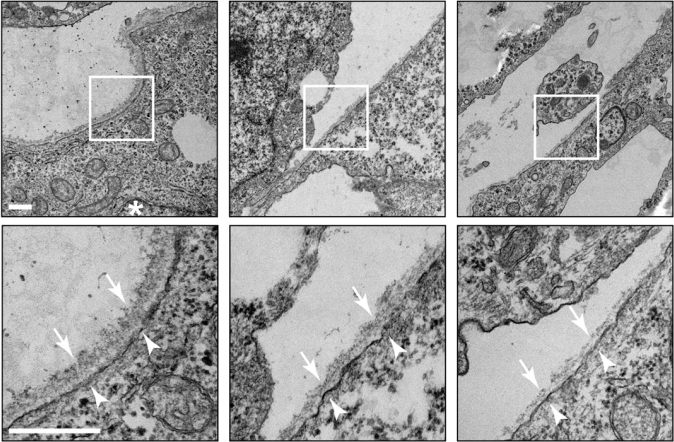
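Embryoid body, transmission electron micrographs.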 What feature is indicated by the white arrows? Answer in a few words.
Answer: Basal lamina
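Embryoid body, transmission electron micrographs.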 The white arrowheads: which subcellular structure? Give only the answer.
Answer: Plasma membrane.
